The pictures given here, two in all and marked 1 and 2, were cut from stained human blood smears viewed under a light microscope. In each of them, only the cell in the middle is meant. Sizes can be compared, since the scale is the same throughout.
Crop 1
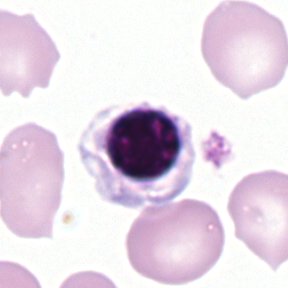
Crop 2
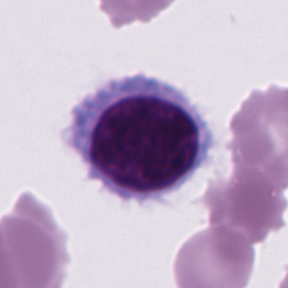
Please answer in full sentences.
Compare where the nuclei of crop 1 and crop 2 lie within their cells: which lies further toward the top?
In crop 1 the nucleus is shifted more toward the top.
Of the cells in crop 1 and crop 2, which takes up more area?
It is the cell in crop 2, about 1.5 times as large in area as the cell in crop 1.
